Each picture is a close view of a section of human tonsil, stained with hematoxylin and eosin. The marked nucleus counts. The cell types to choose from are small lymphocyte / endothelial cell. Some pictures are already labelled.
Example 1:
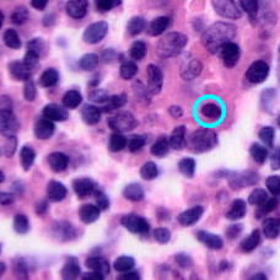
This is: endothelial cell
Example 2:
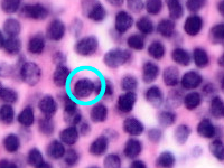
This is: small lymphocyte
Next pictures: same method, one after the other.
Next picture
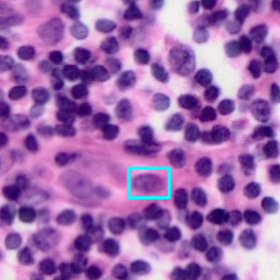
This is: endothelial cell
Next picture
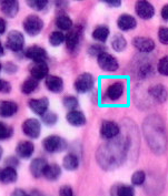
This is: endothelial cell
